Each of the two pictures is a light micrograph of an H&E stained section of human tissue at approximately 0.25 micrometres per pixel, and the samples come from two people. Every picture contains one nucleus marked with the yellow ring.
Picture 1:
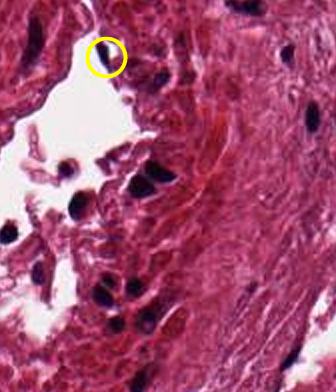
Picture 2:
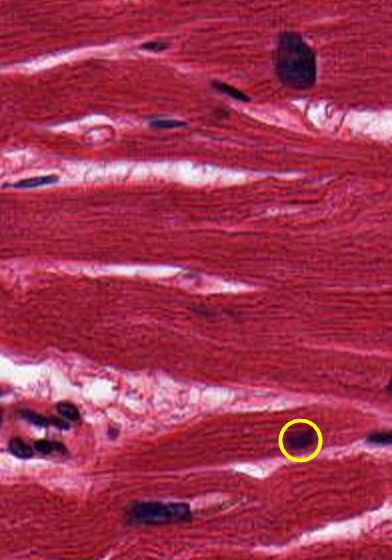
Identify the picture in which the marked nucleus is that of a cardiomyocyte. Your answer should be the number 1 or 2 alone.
2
